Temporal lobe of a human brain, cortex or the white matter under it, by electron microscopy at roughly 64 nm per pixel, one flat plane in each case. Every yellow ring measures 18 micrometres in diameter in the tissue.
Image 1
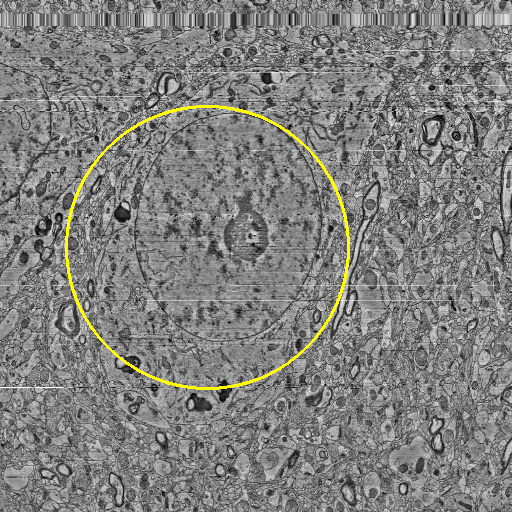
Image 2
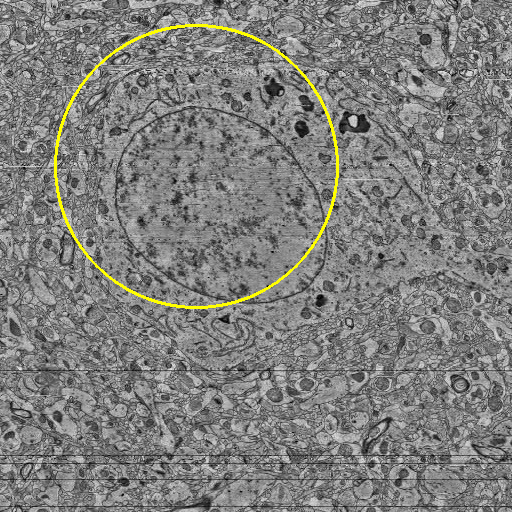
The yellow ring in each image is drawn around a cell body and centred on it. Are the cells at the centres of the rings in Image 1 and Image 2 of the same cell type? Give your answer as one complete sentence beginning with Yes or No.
Yes, both cells are of the same type.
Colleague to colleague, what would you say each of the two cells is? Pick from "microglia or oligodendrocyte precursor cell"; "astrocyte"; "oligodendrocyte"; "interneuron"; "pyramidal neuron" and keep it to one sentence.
Each of the two cells is a pyramidal neuron.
